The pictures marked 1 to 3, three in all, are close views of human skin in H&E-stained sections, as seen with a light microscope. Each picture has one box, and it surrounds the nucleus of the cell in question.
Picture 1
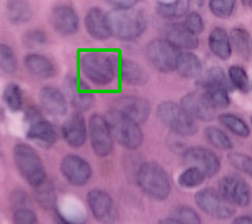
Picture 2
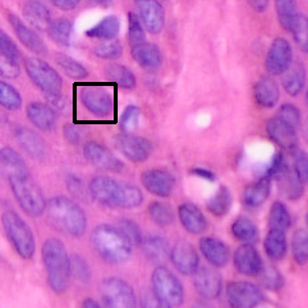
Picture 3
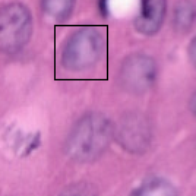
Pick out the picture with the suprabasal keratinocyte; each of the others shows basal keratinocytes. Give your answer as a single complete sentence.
It is picture 3 that shows the suprabasal keratinocyte.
